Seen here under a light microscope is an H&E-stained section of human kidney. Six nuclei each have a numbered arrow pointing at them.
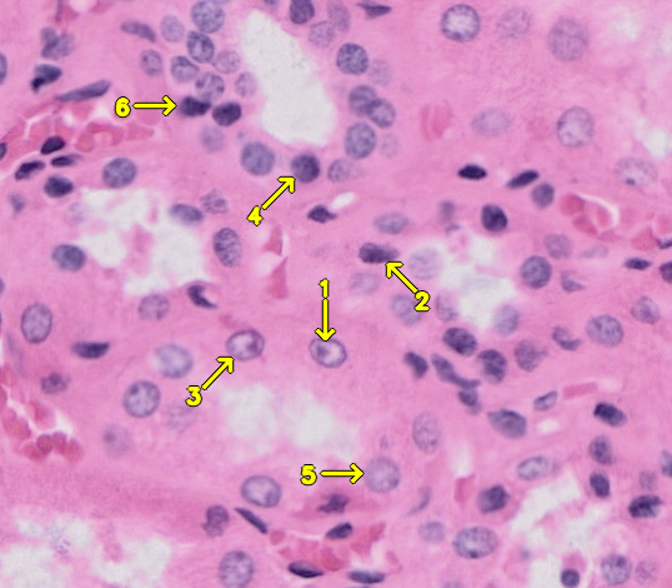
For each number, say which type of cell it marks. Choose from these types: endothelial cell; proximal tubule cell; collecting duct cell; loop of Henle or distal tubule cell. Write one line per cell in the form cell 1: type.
cell 1: proximal tubule cell
cell 2: loop of Henle or distal tubule cell
cell 3: proximal tubule cell
cell 4: collecting duct cell
cell 5: proximal tubule cell
cell 6: collecting duct cell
